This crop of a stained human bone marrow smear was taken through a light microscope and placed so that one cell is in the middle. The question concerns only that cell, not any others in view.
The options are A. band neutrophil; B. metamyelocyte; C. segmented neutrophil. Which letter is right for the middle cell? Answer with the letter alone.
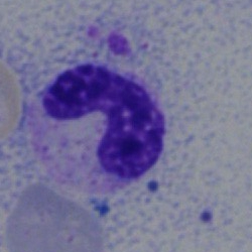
A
